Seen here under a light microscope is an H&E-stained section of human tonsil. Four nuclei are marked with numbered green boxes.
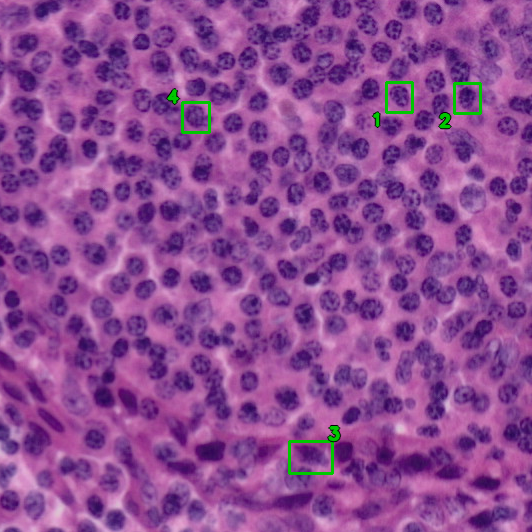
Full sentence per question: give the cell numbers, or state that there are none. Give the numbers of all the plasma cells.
The cells that bear the numbers 1, 2 and 4 are plasma cells.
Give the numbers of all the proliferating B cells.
The numbered cells, taken together, include no proliferating B cells.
